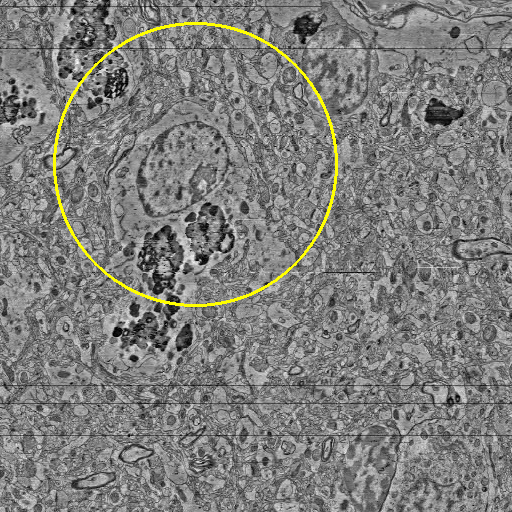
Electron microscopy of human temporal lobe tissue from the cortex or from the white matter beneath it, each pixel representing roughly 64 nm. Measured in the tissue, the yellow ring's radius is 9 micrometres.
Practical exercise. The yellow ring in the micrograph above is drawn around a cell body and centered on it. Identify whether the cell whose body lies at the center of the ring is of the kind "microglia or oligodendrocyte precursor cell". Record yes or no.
no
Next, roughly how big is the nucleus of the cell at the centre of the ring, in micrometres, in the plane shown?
The nucleus of the ringed cell is approximately 7 by 5 micrometres in this plane.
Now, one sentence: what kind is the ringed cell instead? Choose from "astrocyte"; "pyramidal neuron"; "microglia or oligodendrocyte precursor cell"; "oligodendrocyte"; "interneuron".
The cell at the middle of the ring is an astrocyte.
